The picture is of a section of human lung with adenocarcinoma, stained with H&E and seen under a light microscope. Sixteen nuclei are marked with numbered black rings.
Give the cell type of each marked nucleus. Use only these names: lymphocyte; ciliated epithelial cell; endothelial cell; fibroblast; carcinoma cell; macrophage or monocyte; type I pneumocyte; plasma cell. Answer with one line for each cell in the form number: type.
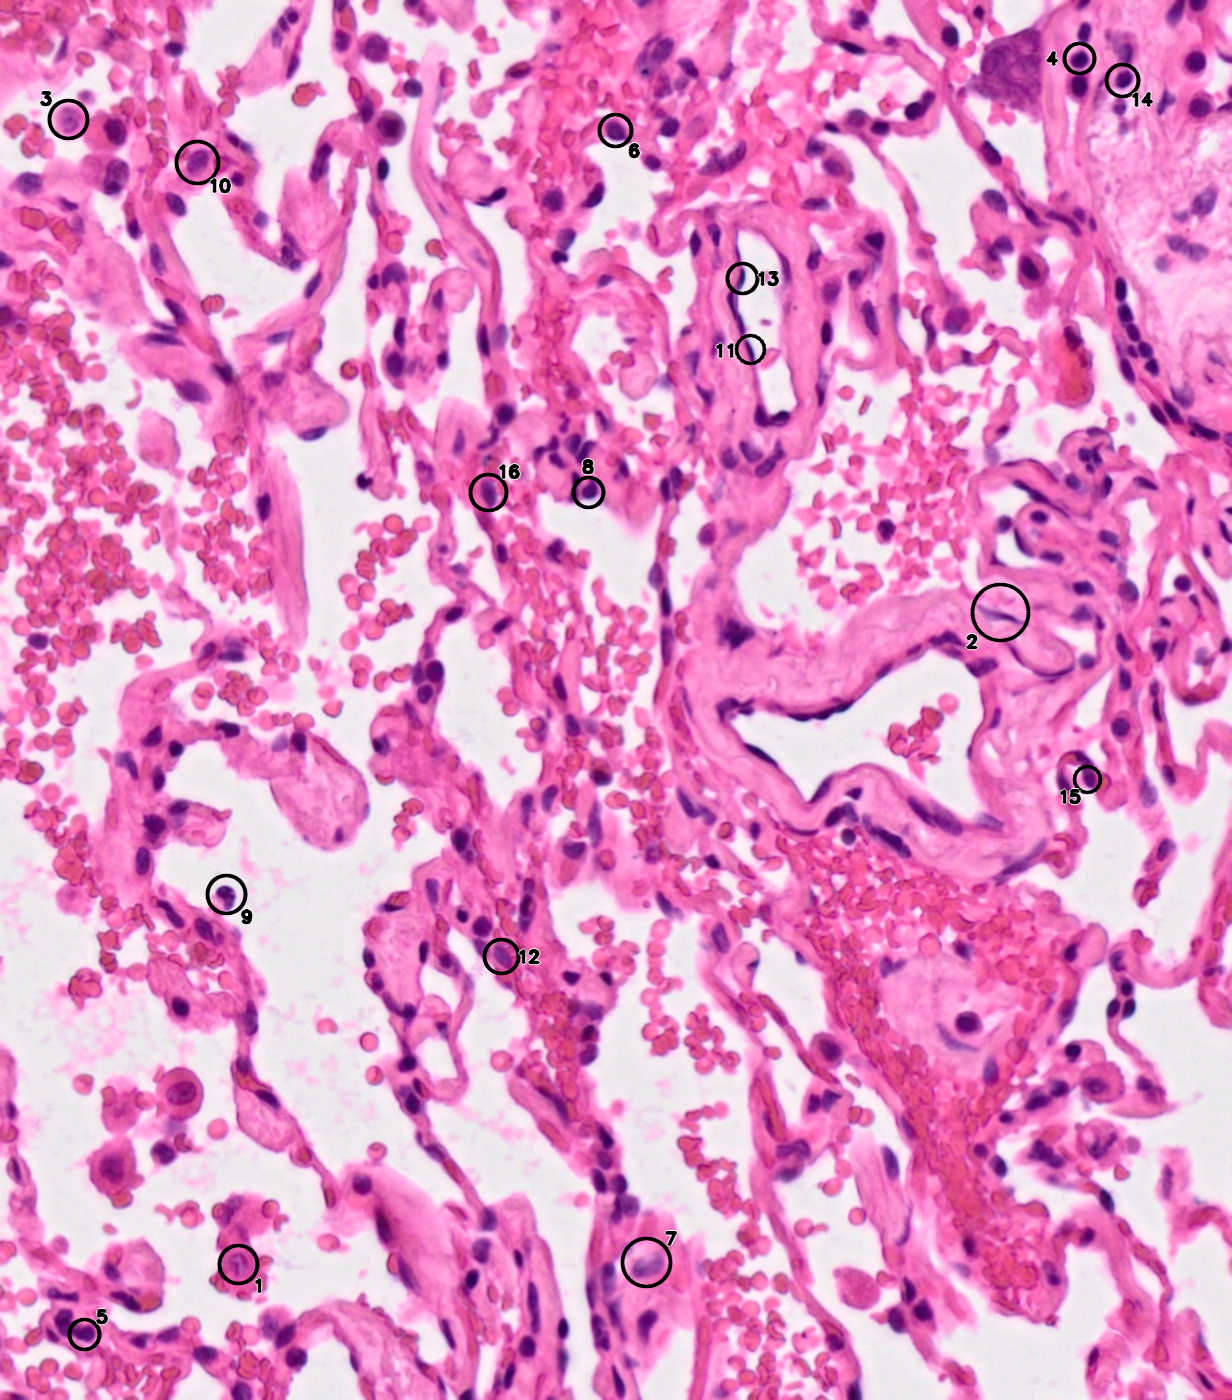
1: macrophage or monocyte
2: fibroblast
3: macrophage or monocyte
4: lymphocyte
5: type I pneumocyte
6: type I pneumocyte
7: type I pneumocyte
8: type I pneumocyte
9: type I pneumocyte
10: type I pneumocyte
11: endothelial cell
12: type I pneumocyte
13: endothelial cell
14: lymphocyte
15: type I pneumocyte
16: type I pneumocyte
